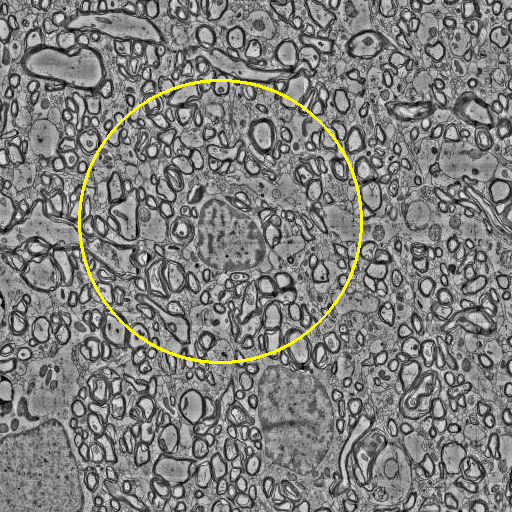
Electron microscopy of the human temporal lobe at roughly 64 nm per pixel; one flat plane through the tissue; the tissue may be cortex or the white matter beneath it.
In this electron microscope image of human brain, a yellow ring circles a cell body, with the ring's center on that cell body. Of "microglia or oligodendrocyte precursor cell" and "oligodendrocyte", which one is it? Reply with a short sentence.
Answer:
It is a microglial cell or oligodendrocyte precursor cell at the center of the ring.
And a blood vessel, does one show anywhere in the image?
No.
